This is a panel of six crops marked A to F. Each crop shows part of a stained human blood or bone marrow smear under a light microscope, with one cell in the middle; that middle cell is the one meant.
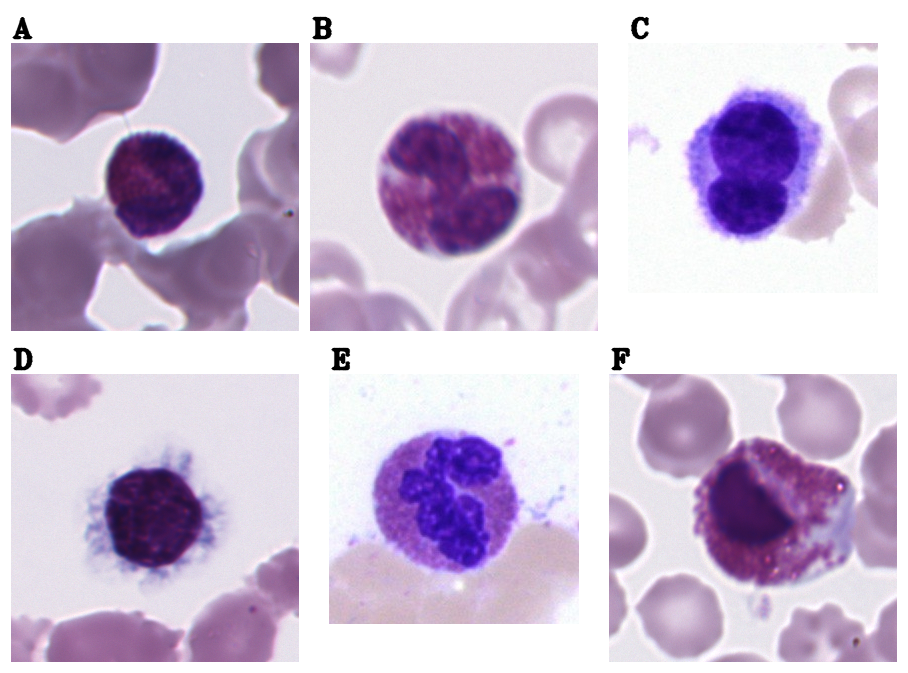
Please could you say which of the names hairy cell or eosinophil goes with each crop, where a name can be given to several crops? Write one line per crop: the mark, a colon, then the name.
A: eosinophil
B: eosinophil
C: hairy cell
D: hairy cell
E: eosinophil
F: eosinophil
